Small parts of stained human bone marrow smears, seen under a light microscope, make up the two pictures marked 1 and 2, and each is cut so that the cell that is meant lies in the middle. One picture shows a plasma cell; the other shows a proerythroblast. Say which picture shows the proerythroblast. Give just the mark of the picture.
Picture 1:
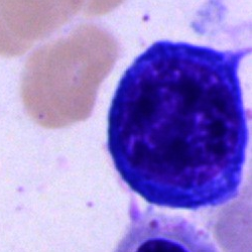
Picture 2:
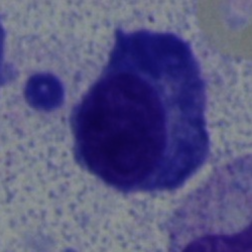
1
